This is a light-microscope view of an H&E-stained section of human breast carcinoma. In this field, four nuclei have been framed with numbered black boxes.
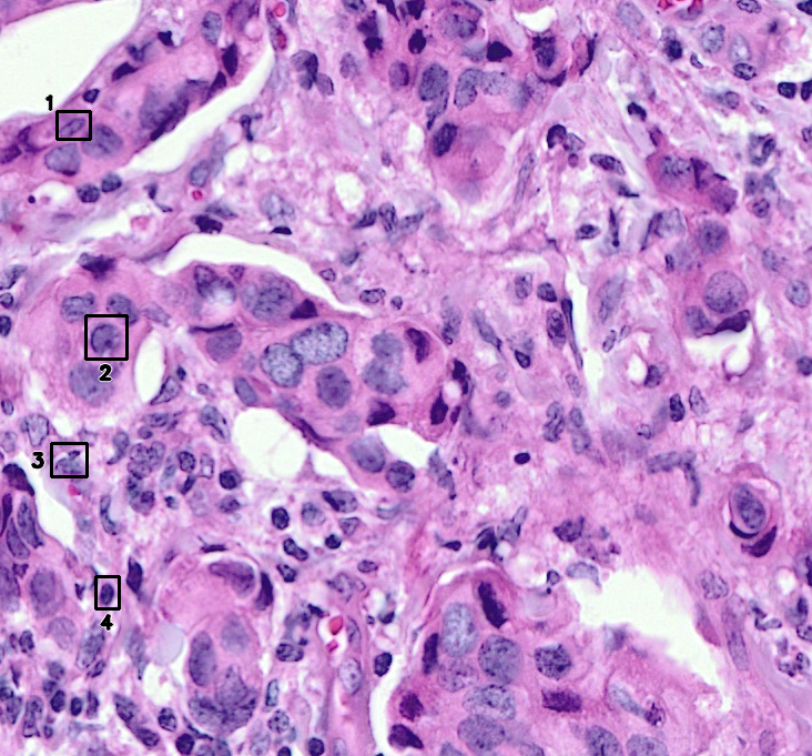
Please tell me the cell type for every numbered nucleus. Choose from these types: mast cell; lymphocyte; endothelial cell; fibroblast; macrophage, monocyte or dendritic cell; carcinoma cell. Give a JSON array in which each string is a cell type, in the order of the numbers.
["carcinoma cell", "carcinoma cell", "endothelial cell", "lymphocyte"]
